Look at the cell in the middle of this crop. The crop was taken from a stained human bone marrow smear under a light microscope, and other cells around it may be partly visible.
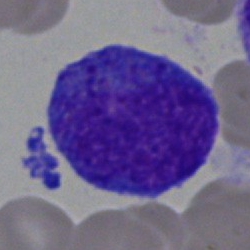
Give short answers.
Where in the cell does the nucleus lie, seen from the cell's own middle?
lower right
